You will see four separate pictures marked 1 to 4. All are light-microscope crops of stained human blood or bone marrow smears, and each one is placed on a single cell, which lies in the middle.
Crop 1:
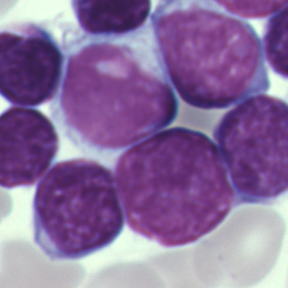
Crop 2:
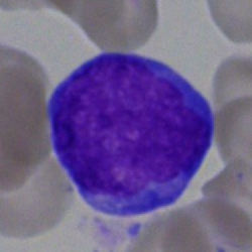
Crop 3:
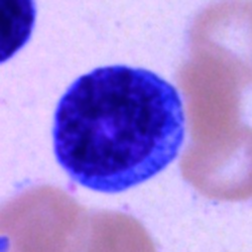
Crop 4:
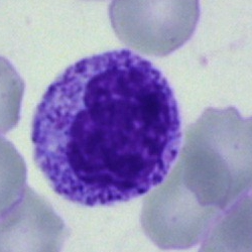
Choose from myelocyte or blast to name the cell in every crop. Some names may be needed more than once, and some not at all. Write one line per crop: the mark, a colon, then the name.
1: blast
2: blast
3: blast
4: myelocyte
